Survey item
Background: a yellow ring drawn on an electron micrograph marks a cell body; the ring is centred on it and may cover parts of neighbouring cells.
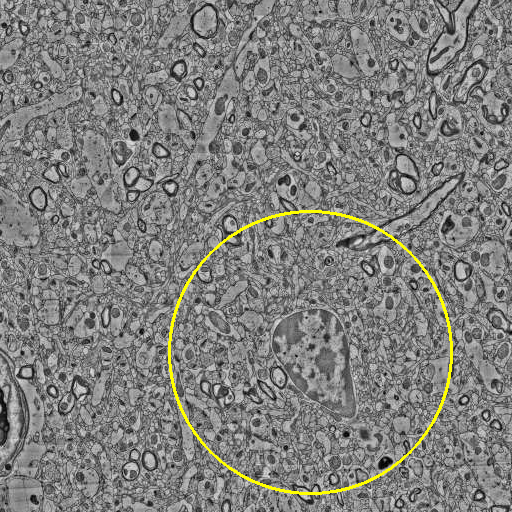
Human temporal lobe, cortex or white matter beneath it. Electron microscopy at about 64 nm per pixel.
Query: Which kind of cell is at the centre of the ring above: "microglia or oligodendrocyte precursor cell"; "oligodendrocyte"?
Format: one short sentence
The cell in the middle of the ring is a microglial cell or oligodendrocyte precursor cell.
